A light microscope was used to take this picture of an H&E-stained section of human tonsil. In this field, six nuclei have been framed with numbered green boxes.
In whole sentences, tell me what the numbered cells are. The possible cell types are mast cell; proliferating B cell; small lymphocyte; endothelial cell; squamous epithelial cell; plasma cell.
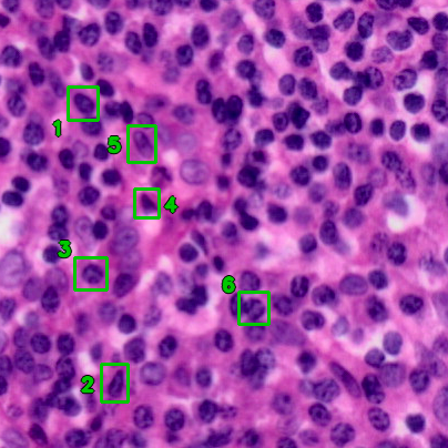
Cell 1 is a plasma cell, cell 2 is a plasma cell, cell 3 is a plasma cell, cell 4 is an endothelial cell, cell 5 is an endothelial cell and cell 6 is a plasma cell.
